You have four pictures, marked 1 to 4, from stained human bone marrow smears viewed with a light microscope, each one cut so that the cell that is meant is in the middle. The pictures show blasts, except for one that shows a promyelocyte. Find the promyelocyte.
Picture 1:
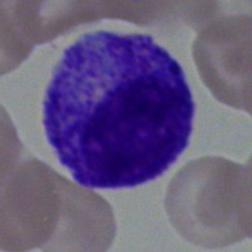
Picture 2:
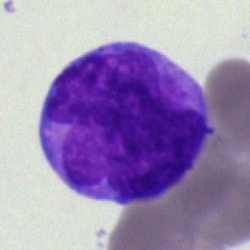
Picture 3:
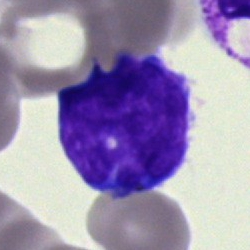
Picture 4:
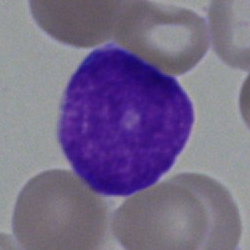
1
